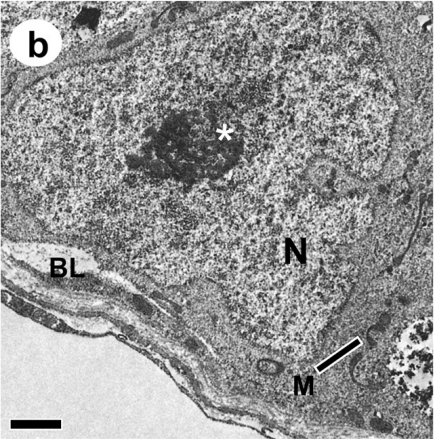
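At the base of a seminiferous tubule a Sertoli cell rests on the basal lamina, beneath which lie thin flattened cell layers. Its nucleus is large and pale, with finely dispersed chromatin and no heavy clumping, and it holds a large dense granular nucleolus. The nuclear outline is irregular where it meets the surrounding cytoplasm. The pale nucleus with its prominent nucleolus sitting at the basal lamina fits a supporting Sertoli cell.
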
